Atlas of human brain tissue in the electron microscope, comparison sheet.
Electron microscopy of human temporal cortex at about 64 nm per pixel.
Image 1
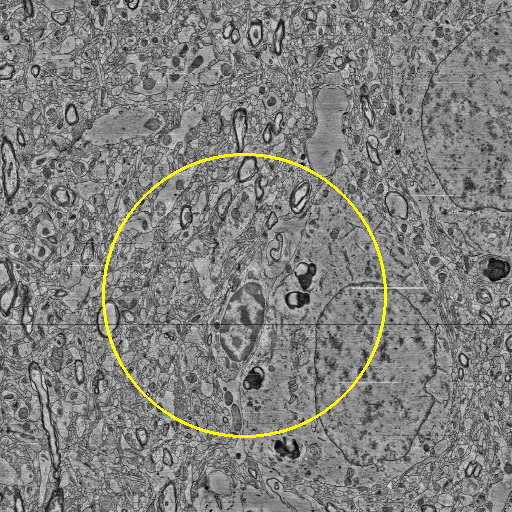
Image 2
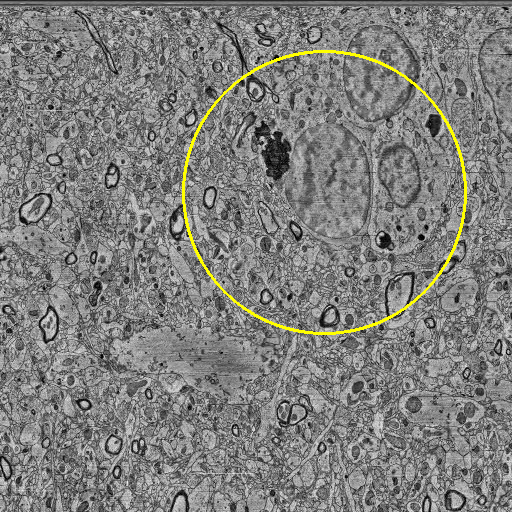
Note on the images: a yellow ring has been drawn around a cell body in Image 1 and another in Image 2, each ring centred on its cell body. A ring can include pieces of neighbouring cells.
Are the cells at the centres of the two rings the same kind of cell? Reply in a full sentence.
No, the two cells are of two kinds.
